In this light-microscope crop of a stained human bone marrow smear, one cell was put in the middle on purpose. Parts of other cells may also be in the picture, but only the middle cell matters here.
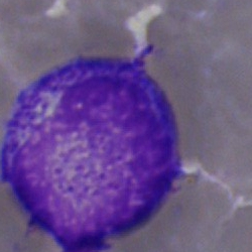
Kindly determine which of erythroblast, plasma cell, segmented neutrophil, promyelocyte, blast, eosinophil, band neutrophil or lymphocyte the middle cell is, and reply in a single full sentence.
In the middle of this smear crop, the cell is a promyelocyte.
